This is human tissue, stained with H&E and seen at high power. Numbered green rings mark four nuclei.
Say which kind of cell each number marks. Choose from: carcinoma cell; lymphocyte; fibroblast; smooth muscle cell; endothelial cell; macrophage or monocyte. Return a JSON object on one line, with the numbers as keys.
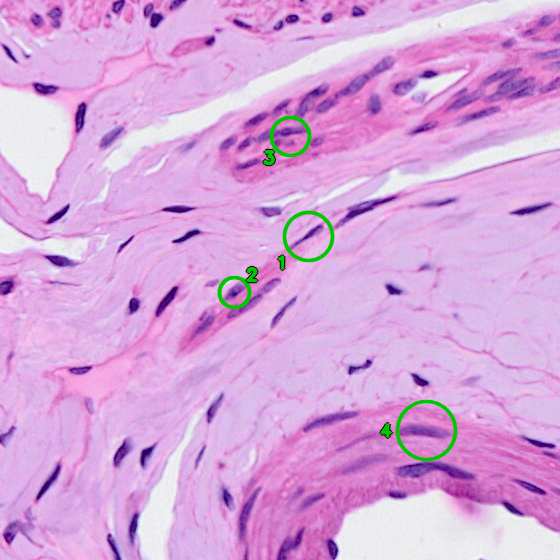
{"1": "fibroblast", "2": "smooth muscle cell", "3": "smooth muscle cell", "4": "smooth muscle cell"}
